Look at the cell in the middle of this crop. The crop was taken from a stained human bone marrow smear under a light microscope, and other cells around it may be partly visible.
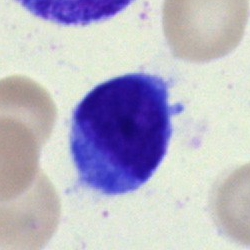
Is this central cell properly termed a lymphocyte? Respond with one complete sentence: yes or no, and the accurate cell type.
Yes, the cell lying in the centre of the crop is identified as a lymphocyte.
